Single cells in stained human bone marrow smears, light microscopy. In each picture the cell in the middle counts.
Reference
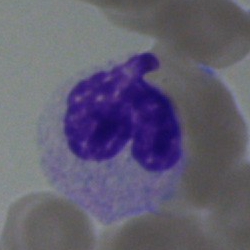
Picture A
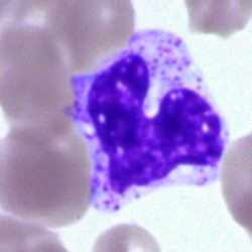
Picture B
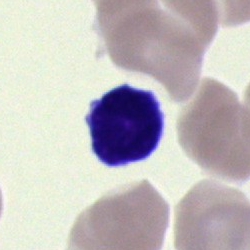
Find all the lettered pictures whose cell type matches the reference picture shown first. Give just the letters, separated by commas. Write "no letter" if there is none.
A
